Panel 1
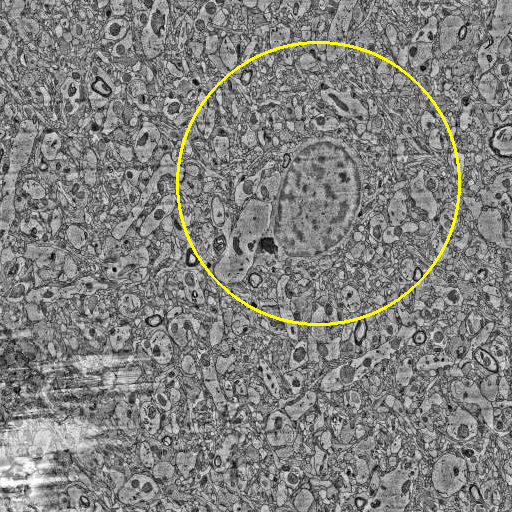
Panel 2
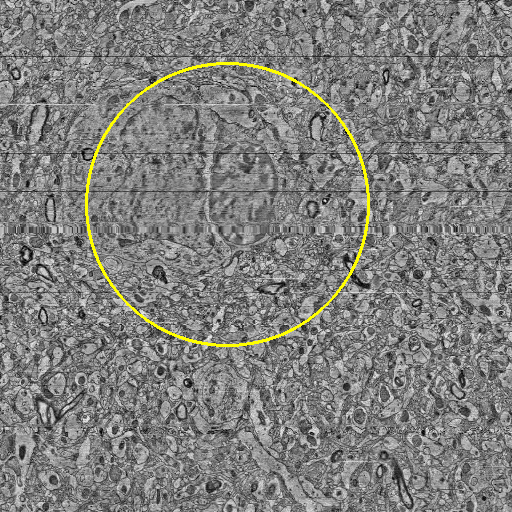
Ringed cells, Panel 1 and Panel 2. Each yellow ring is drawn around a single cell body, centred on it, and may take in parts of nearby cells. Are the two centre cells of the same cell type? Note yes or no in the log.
yes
